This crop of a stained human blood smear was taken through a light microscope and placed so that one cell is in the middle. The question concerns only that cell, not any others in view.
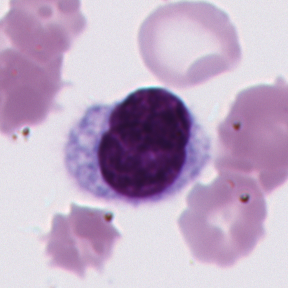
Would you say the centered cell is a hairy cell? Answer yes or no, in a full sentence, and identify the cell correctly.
Yes, the identification of the central cell as a hairy cell is correct.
